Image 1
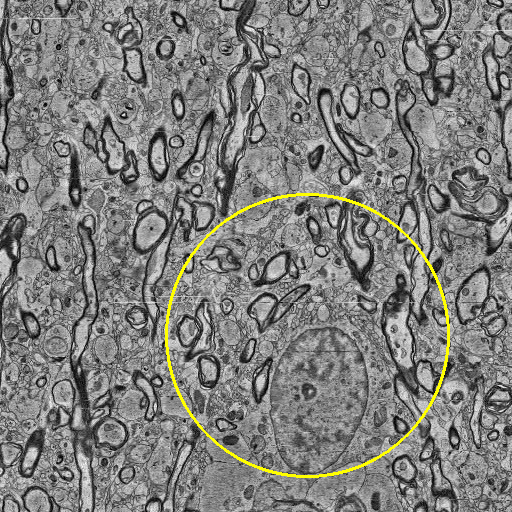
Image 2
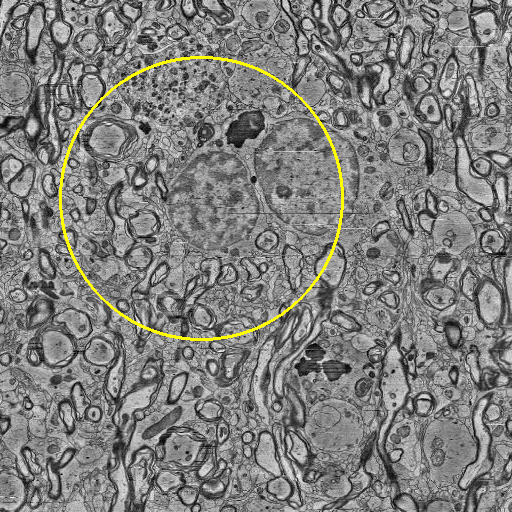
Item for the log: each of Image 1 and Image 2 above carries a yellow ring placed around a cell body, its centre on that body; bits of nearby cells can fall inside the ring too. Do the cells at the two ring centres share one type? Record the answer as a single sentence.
Yes, the two cells at the ring centres in Image 1 and Image 2 share one type.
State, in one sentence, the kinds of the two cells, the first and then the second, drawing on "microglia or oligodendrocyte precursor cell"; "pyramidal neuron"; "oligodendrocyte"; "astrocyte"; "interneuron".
Both cells are the same kind, each one being an oligodendrocyte.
